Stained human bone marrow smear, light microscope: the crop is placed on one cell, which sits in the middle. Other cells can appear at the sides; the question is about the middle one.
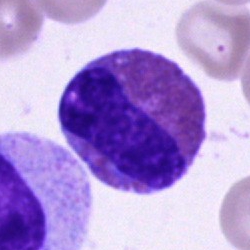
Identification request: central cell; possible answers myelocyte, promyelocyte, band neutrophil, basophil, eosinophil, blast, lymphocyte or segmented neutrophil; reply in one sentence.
Where the crop is centred, there is an eosinophil.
